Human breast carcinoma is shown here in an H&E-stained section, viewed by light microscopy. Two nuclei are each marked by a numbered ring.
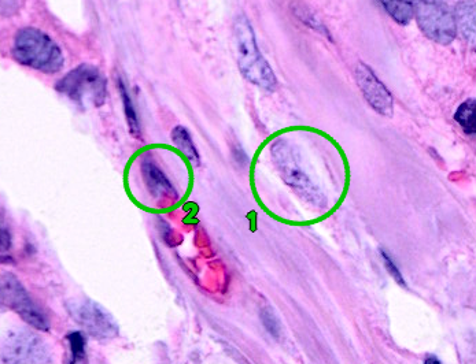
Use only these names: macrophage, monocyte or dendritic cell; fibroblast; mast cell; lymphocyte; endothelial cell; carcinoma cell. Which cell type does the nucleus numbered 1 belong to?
fibroblast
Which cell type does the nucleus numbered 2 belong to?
endothelial cell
